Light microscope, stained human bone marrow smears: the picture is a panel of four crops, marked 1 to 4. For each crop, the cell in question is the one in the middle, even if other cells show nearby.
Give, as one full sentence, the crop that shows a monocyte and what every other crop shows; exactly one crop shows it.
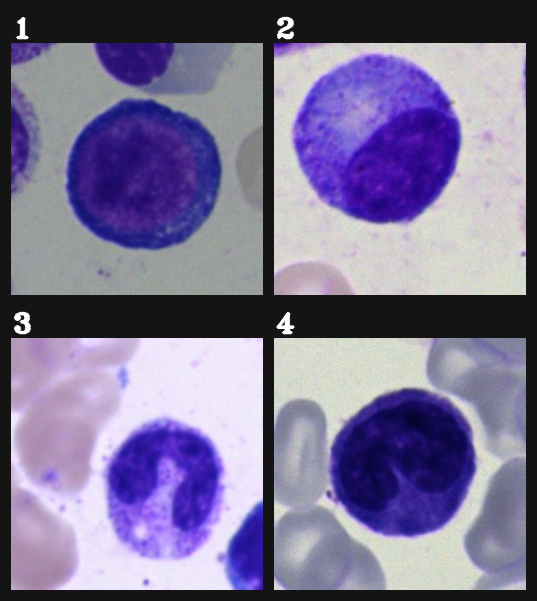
It is a monocyte that crop 4 shows, while crop 1 is a proerythroblast, crop 2 is a promyelocyte and crop 3 is a band neutrophil.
